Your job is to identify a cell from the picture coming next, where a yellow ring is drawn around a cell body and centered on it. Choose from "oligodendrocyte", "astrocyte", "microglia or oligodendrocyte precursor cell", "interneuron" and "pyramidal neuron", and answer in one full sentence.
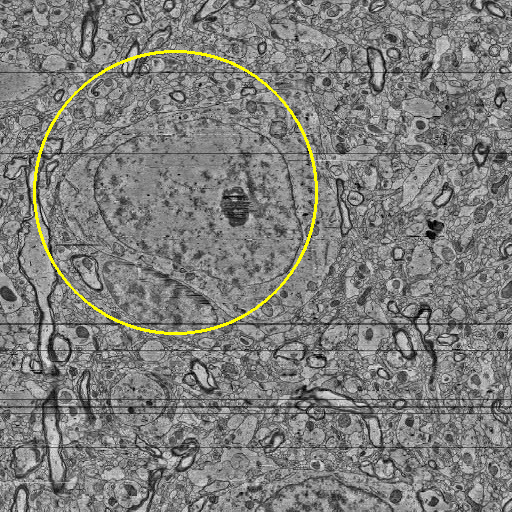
Centered in the yellow ring of the picture is the body of a pyramidal neuron.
